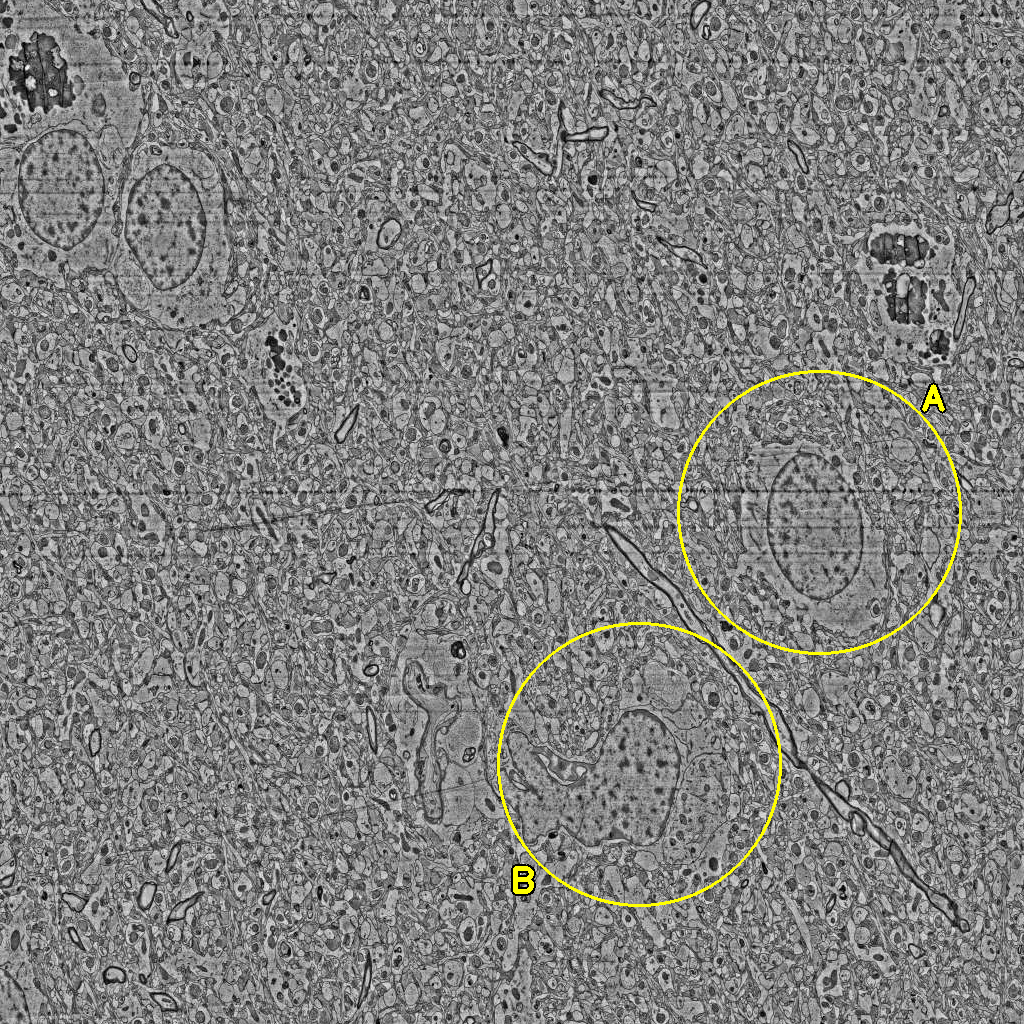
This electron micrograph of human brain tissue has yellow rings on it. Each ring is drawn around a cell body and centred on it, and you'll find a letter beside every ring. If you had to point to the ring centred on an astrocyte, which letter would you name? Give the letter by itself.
A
